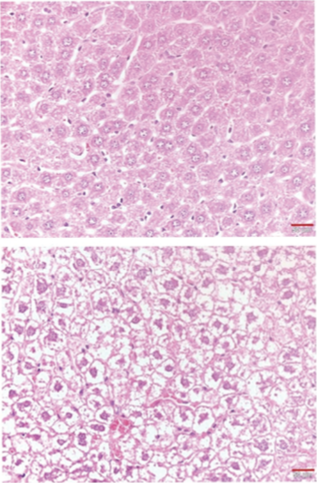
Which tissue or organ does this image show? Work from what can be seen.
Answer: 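Liver. Sheets of polygonal cells with round central nuclei. Pink-stained cytoplasm. Cells packed in a continuous parenchyma.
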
